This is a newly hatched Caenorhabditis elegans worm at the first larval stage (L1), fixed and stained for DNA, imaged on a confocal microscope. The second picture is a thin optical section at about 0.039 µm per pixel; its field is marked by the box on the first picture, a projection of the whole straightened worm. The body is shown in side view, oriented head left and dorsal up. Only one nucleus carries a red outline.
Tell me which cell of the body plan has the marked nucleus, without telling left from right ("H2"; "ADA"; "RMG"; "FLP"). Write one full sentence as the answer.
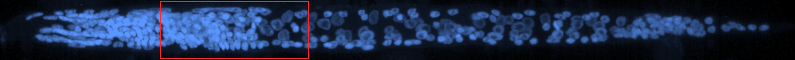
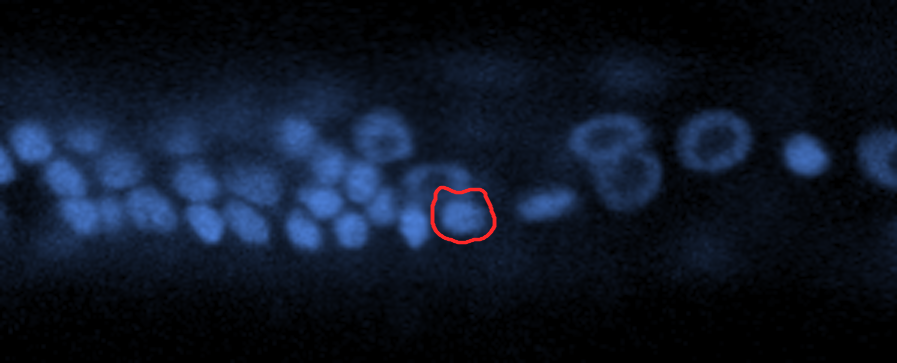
The nucleus is from RMG, a neuron.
